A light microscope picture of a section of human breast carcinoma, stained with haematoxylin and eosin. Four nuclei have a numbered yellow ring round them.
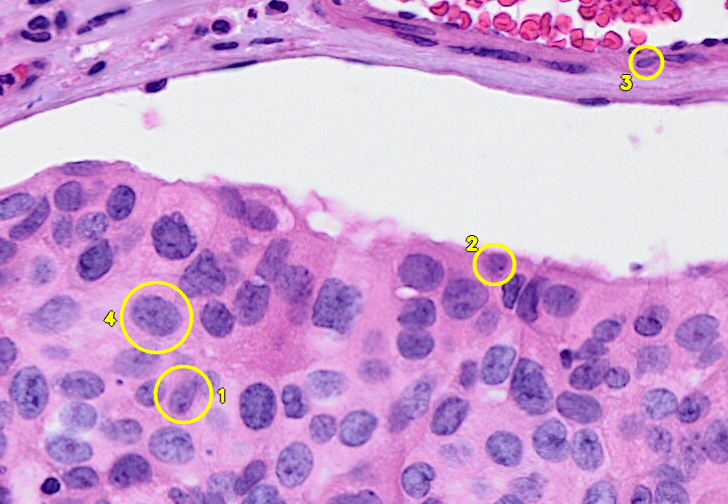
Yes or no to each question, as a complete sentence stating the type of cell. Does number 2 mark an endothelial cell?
No, it is a carcinoma cell, not an endothelial cell, at number 2.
